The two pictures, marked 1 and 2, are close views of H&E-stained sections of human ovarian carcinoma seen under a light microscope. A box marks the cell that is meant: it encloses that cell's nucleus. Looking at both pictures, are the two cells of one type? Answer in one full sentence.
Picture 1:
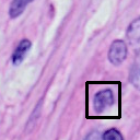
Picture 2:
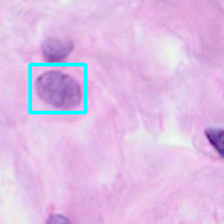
No, they differ: the cell is a lymphocyte in picture 1 and a fibroblast in picture 2.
